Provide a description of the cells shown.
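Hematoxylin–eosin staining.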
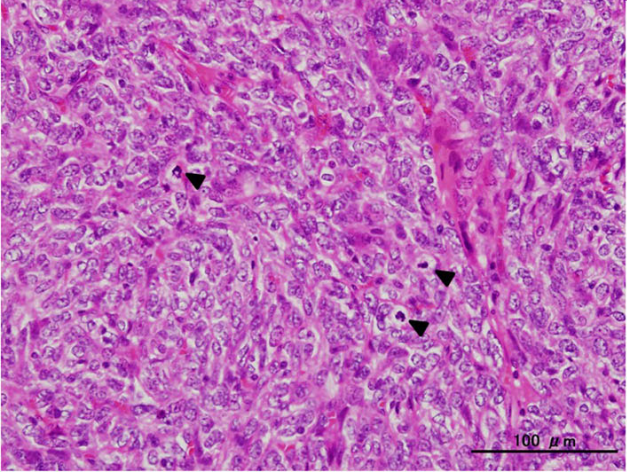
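Densely cellular tumor composed of spindle- and oval-shaped cells packed closely together in sheets and short fascicles. The nuclei are oval to elongated and vesicular with fine chromatin, and some show small nucleoli. The nuclei vary moderately in size and shape. The cytoplasm is pale pink, and the cell borders are indistinct. Thin pink strands of stroma or small vessels run between the cells. Scattered small, dark, condensed mitotic figures are present among the pale nuclei.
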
